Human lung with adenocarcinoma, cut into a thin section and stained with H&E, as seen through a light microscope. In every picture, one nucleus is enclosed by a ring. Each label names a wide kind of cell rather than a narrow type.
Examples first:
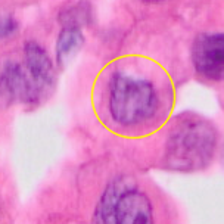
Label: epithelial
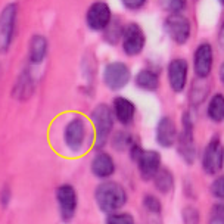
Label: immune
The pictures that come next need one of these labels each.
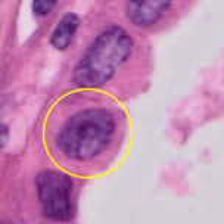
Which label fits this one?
epithelial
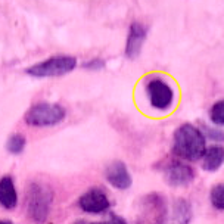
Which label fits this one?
immune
